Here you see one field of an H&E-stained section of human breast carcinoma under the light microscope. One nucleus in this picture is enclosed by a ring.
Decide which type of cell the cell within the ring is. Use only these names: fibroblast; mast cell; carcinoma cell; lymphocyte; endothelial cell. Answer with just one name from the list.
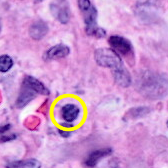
lymphocyte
